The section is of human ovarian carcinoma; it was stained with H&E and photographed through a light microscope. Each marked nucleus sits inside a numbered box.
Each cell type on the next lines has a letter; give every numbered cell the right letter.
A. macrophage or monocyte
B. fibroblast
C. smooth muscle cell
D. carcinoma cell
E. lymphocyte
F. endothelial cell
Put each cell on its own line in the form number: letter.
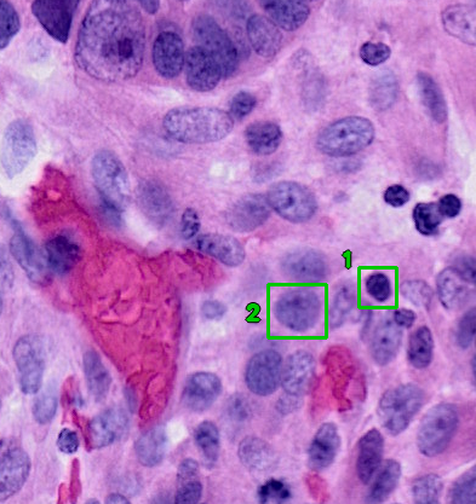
1: E
2: D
